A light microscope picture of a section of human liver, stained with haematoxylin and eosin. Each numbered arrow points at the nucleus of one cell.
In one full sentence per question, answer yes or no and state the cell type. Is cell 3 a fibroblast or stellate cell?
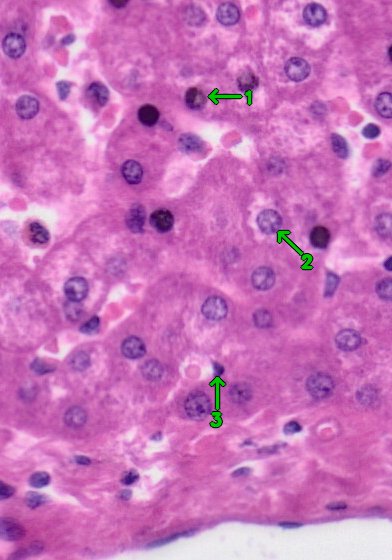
Yes, the cell identified as number 3 is a fibroblast or stellate cell.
